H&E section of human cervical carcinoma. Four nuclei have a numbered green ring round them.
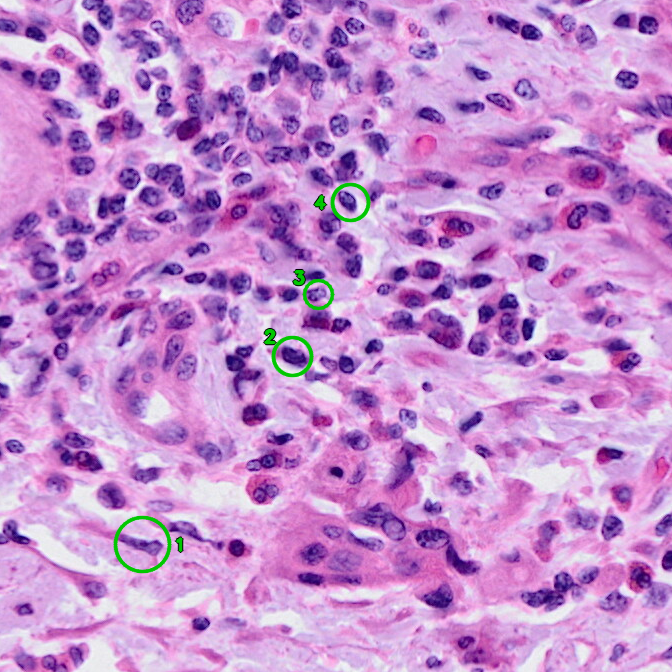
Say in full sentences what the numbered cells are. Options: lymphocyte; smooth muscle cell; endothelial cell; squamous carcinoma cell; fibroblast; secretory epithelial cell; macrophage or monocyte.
Cell 1 is a fibroblast. Cells 2, 3 and 4 are lymphocytes.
